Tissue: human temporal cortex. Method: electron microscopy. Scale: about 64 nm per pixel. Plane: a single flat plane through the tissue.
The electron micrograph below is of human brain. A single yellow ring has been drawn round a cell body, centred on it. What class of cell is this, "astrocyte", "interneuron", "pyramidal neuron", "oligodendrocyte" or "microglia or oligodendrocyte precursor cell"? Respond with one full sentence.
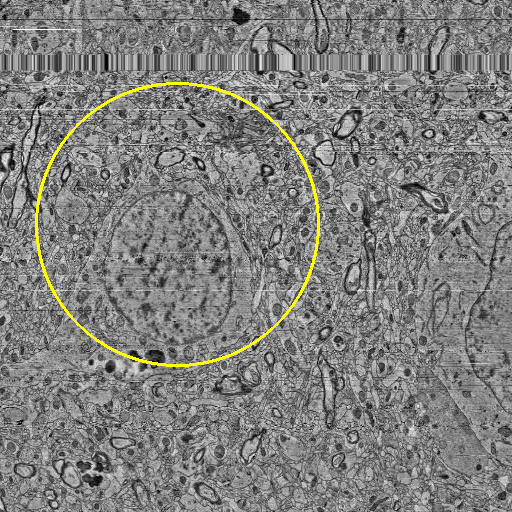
In the micrograph, the cell centred inside the yellow ring is an interneuron.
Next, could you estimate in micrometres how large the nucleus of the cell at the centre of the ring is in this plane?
In this plane the nucleus is about 10 micrometres by 8.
